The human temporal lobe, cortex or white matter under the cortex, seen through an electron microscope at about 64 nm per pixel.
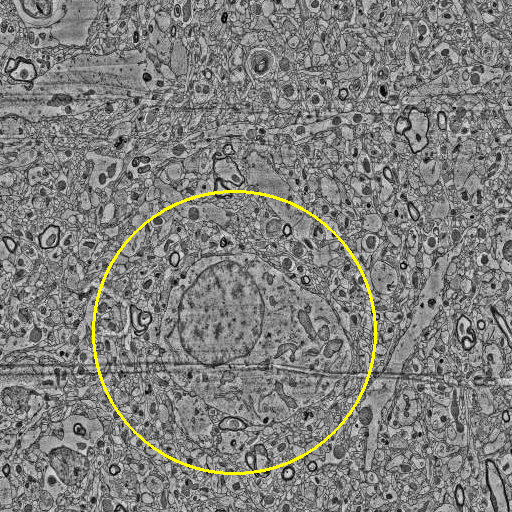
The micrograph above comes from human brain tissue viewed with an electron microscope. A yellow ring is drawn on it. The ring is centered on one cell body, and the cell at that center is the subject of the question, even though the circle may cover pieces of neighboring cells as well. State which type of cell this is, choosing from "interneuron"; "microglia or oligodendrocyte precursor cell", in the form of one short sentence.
The cell the ring is centered on is an interneuron.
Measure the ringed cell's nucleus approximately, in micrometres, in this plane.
In this plane, approximately 7 by 6 micrometers.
